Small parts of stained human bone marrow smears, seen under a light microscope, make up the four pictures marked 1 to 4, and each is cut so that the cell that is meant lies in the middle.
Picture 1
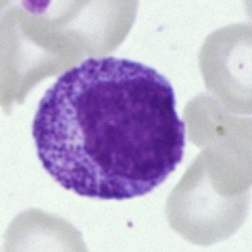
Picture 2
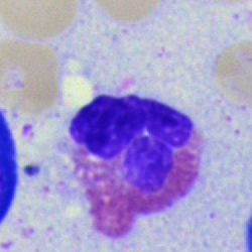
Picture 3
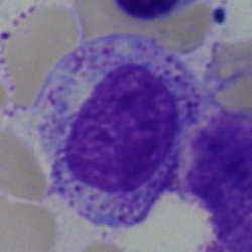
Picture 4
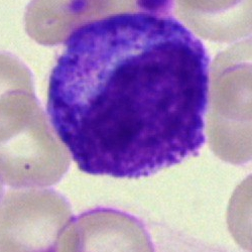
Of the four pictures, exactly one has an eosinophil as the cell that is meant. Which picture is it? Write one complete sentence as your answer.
The cell in picture 2 is the eosinophil.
